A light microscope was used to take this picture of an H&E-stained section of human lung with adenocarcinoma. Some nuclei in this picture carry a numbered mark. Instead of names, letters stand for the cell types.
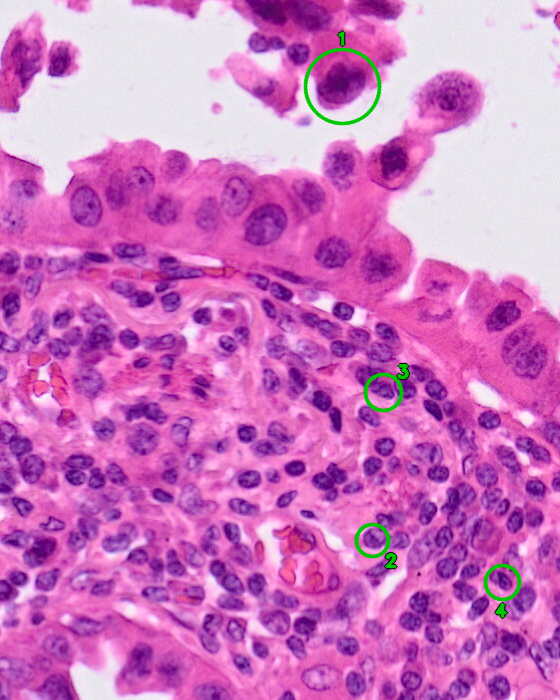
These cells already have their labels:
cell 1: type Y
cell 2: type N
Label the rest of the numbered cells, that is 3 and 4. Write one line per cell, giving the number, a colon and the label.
3: type N
4: type N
